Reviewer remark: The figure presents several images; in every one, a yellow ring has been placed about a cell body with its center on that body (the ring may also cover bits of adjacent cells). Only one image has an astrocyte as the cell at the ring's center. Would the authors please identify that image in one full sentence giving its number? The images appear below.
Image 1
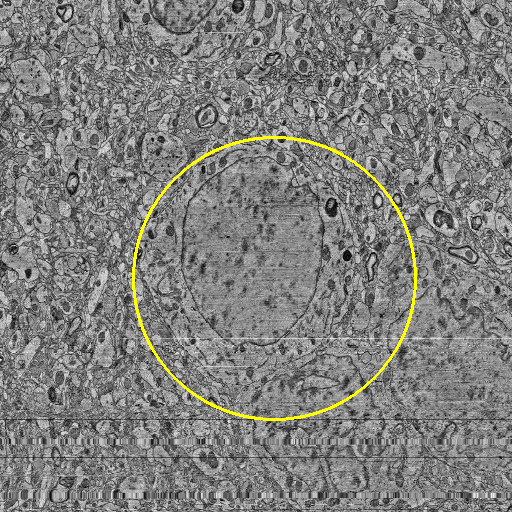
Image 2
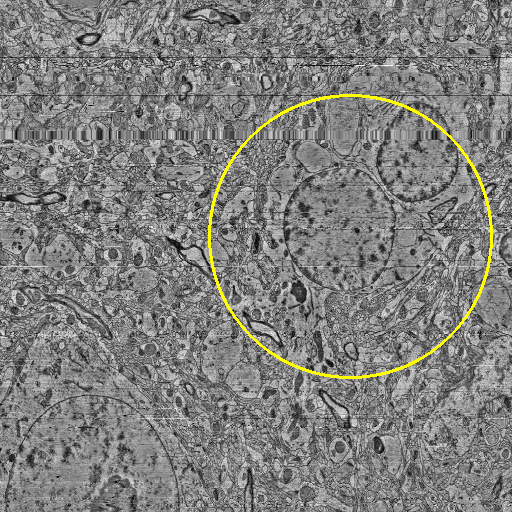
The ring's central cell in image 2 is the one the question describes.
